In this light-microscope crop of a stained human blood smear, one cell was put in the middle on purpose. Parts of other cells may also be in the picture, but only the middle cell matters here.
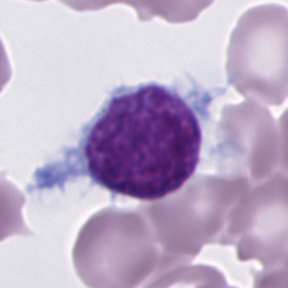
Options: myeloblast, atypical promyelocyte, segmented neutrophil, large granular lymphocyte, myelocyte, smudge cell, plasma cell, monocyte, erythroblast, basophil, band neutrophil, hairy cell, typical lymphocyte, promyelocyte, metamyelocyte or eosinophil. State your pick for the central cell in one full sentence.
In this smear crop, the middle cell is a hairy cell.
